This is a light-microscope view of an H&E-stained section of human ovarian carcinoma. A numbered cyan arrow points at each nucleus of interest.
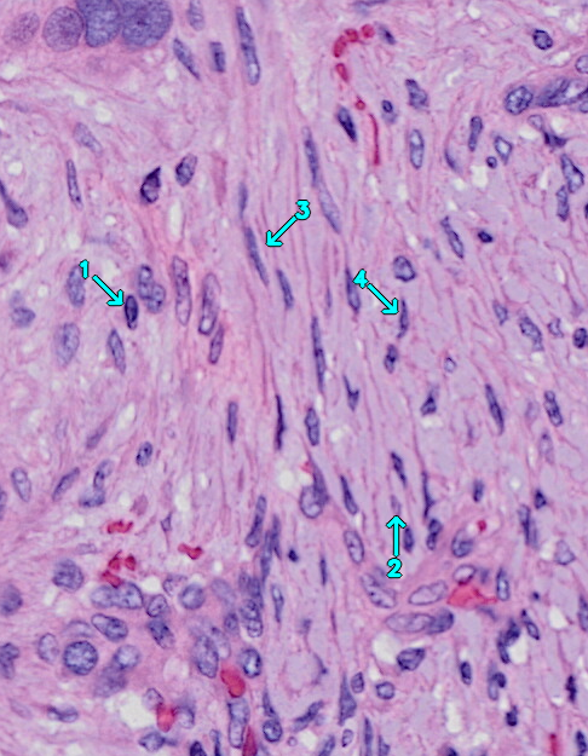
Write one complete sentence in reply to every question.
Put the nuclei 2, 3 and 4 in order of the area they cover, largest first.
By area, largest first, they run 3, 4, 2.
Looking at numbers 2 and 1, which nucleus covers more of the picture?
Number 1 is larger; its area is about 2.5 times that of number 2.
